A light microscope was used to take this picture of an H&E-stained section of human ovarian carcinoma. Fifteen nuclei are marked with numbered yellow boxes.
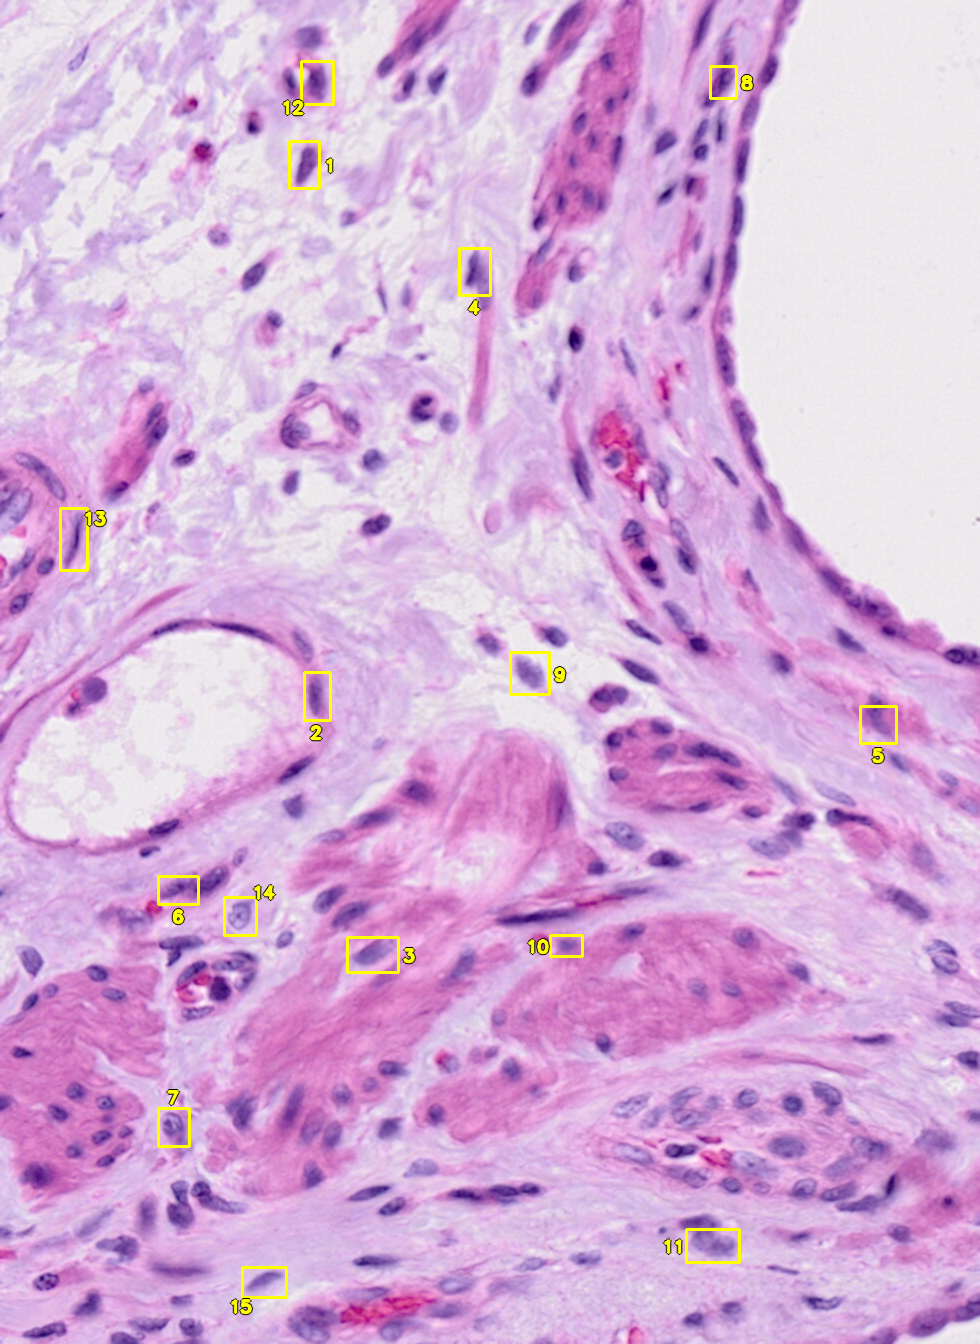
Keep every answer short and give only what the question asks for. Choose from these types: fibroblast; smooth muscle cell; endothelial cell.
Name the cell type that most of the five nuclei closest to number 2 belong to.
fibroblast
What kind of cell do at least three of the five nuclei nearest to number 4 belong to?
smooth muscle cell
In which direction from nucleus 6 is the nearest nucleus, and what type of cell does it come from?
an endothelial cell to the right of nucleus 6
